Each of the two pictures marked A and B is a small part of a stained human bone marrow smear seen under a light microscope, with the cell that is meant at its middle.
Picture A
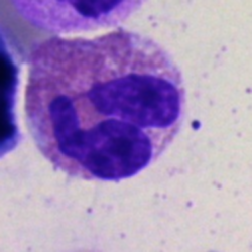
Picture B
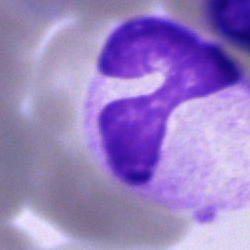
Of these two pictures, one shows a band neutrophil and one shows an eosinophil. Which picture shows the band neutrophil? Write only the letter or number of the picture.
B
